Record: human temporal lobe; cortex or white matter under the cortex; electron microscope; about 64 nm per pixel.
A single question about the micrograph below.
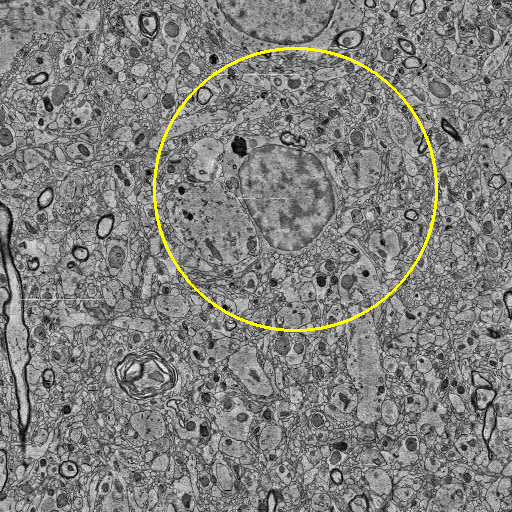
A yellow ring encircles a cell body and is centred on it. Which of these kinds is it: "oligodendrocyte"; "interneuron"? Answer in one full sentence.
The cell body at the centre of the yellow ring belongs to an oligodendrocyte.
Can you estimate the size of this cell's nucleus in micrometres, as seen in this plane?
The ringed cell's nucleus is about 7 micrometres long and 6 micrometres wide in this plane.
